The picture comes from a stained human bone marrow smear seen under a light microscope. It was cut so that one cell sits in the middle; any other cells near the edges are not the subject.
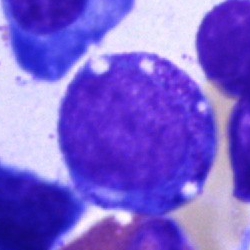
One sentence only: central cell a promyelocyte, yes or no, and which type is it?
Yes, the cell found at the centre of the crop is a promyelocyte.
